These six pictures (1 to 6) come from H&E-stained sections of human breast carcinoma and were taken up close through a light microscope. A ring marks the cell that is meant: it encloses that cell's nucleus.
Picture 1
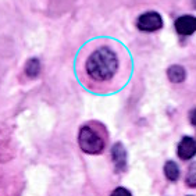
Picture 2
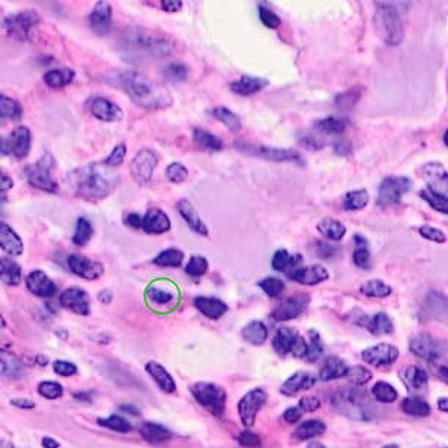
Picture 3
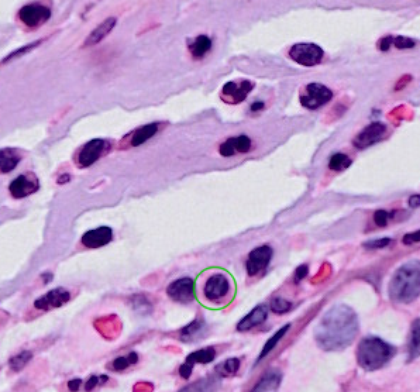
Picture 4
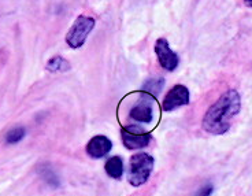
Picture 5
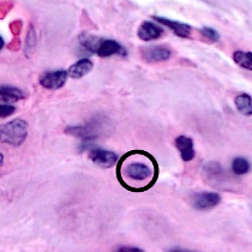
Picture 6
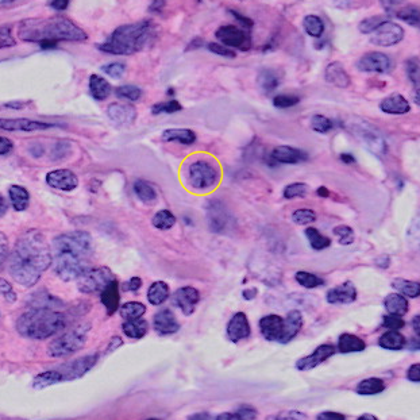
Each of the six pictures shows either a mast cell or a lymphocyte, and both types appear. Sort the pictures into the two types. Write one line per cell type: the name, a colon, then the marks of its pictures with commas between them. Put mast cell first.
mast cell: 1, 3, 5, 6
lymphocyte: 2, 4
